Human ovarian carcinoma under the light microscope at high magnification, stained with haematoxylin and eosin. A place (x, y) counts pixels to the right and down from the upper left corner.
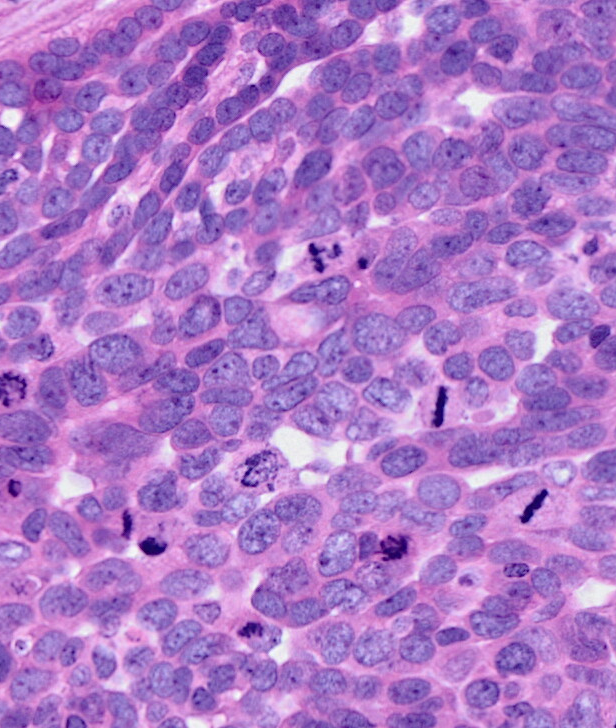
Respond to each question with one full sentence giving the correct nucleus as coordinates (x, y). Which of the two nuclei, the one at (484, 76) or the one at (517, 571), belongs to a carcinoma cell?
The nucleus at (484, 76) is attributed to a carcinoma cell, unlike the other nucleus.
